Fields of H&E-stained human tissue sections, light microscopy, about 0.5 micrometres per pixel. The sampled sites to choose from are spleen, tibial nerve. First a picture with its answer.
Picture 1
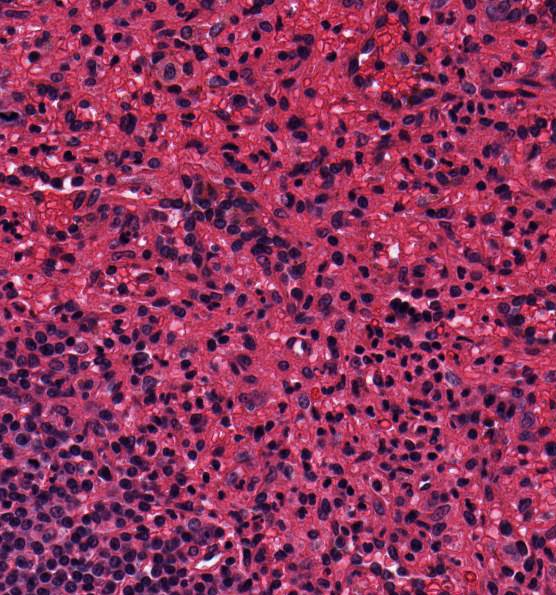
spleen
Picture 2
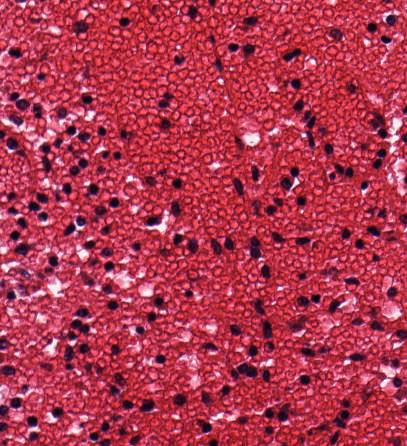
spleen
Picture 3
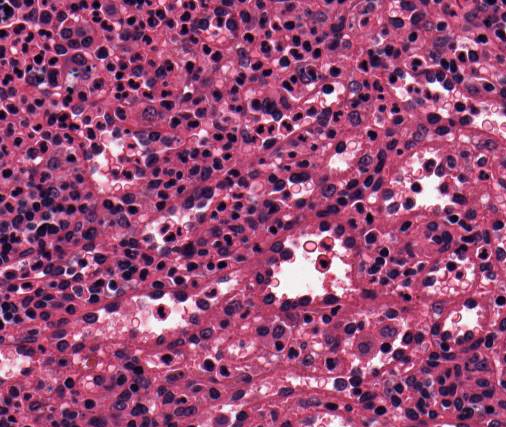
spleen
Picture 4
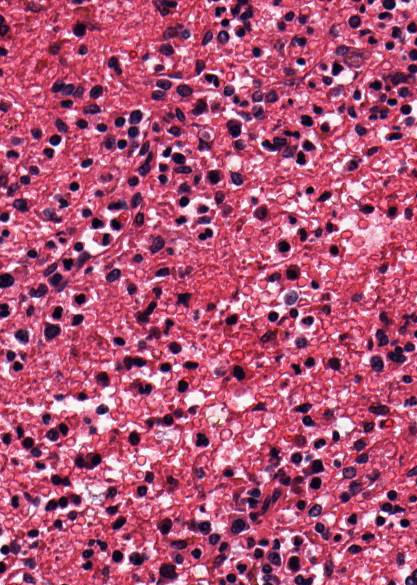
spleen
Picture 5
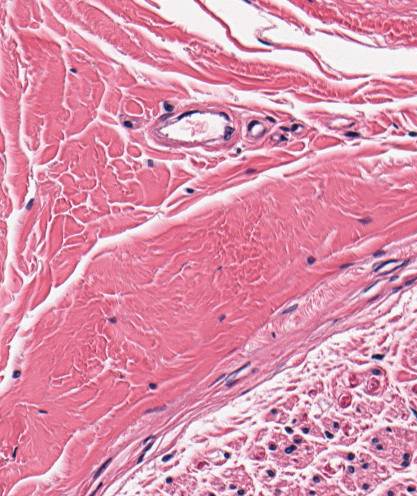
tibial nerve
